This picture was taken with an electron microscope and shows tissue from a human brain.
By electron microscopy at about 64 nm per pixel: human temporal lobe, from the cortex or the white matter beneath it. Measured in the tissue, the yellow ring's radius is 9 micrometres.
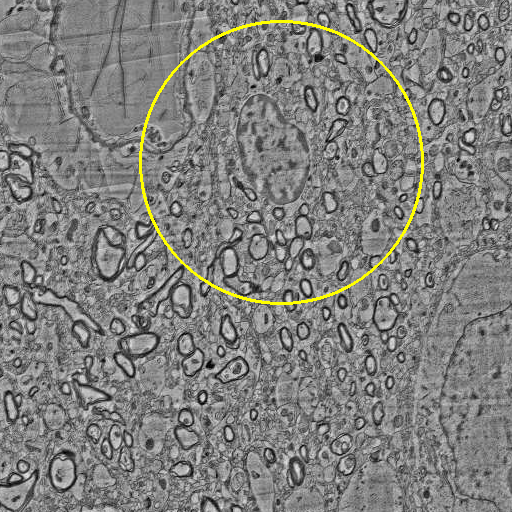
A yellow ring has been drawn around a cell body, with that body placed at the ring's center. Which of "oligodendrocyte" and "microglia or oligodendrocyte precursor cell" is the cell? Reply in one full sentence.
In this picture, a microglial cell or oligodendrocyte precursor cell is the cell at the center of the yellow ring.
